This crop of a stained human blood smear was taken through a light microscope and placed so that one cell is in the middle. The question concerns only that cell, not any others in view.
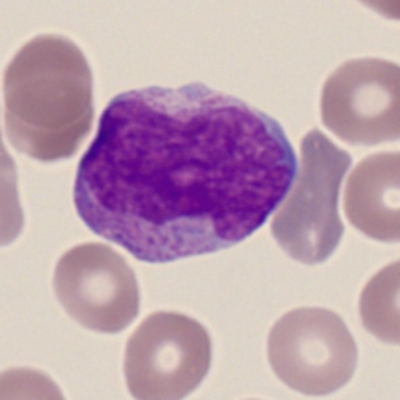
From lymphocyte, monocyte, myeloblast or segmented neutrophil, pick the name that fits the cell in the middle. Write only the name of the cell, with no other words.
myeloblast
